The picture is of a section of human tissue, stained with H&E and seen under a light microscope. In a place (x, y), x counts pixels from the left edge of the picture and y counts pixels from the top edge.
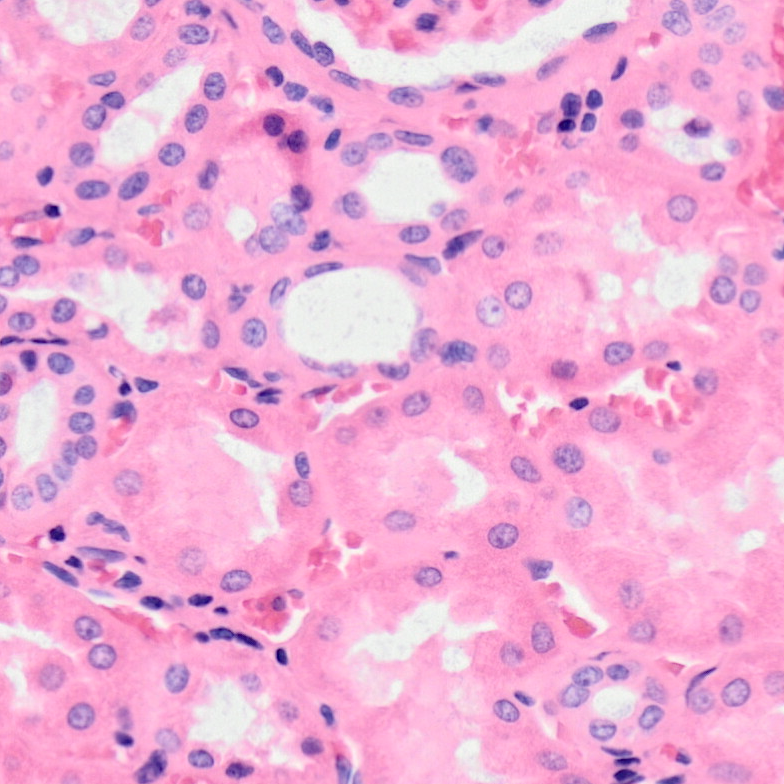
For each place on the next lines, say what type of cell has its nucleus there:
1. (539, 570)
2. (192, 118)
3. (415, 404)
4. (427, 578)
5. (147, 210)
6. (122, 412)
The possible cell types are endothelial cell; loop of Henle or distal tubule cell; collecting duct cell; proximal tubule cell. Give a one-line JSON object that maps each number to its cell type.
{"1": "endothelial cell", "2": "collecting duct cell", "3": "proximal tubule cell", "4": "proximal tubule cell", "5": "endothelial cell", "6": "endothelial cell"}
